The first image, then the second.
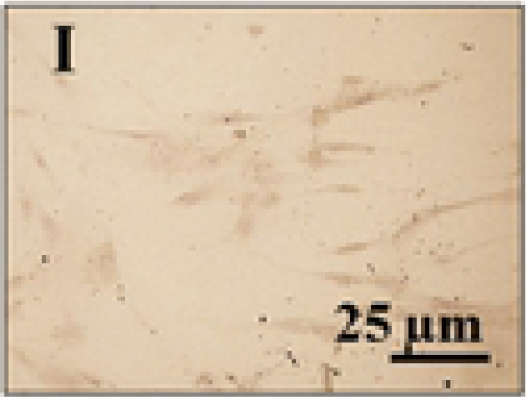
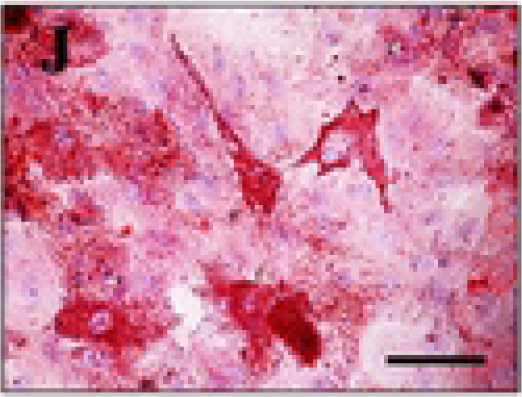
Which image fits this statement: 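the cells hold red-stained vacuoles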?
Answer: The second image.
